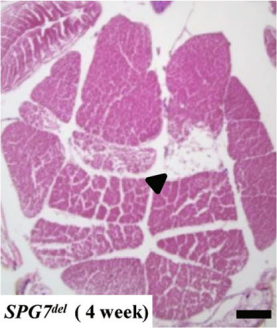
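This is a cross section through the thorax showing large blocks of flight muscle arranged around the midline. Instead of solid, evenly stained blocks, the muscle is broken up by many white clefts into numerous small, irregular pink fragments. Some areas are paler and frayed, with loose strands between fragments. The outer muscle at the top left still shows longitudinally cut, streaked fibers.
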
